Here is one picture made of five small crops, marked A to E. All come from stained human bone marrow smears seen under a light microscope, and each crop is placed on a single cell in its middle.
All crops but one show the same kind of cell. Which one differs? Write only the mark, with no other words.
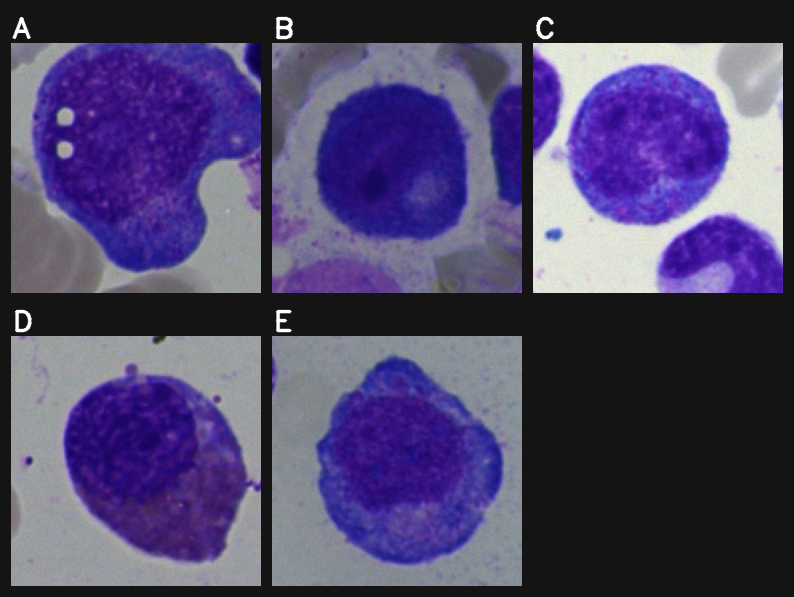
D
